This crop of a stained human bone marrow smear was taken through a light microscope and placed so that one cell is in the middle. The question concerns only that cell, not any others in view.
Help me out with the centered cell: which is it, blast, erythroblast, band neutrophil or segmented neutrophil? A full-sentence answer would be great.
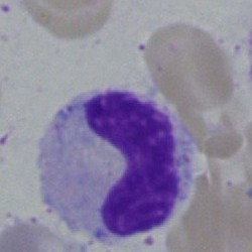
Here the cell in the middle is a band neutrophil.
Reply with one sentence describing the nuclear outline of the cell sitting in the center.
The nucleus amounts to one compact mass with a round, oval or kidney-shaped outline.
